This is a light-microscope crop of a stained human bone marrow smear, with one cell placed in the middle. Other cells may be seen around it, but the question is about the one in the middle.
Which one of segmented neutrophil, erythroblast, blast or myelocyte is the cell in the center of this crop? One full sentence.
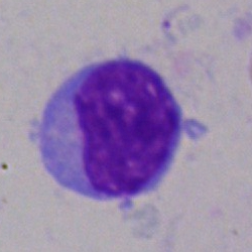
Among the cells in view, the one in the middle is a blast.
